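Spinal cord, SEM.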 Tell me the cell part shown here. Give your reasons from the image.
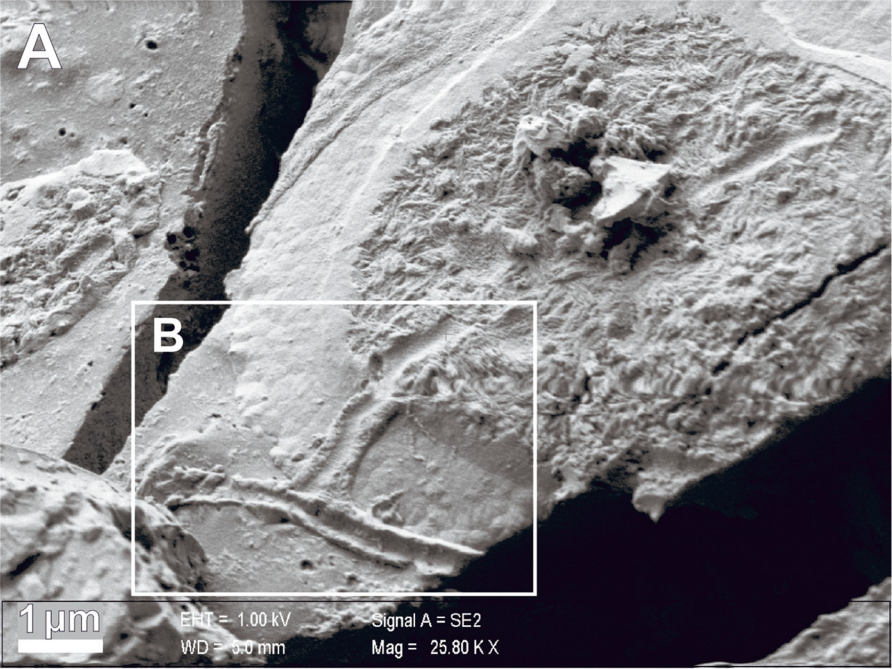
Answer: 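Filamentous structures. The upper right part of the exposed cell surface is covered with short wavy, worm-like raised threads. These threads are densely packed and give the surface a rough, fibrous texture unlike the smooth areas to the left.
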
